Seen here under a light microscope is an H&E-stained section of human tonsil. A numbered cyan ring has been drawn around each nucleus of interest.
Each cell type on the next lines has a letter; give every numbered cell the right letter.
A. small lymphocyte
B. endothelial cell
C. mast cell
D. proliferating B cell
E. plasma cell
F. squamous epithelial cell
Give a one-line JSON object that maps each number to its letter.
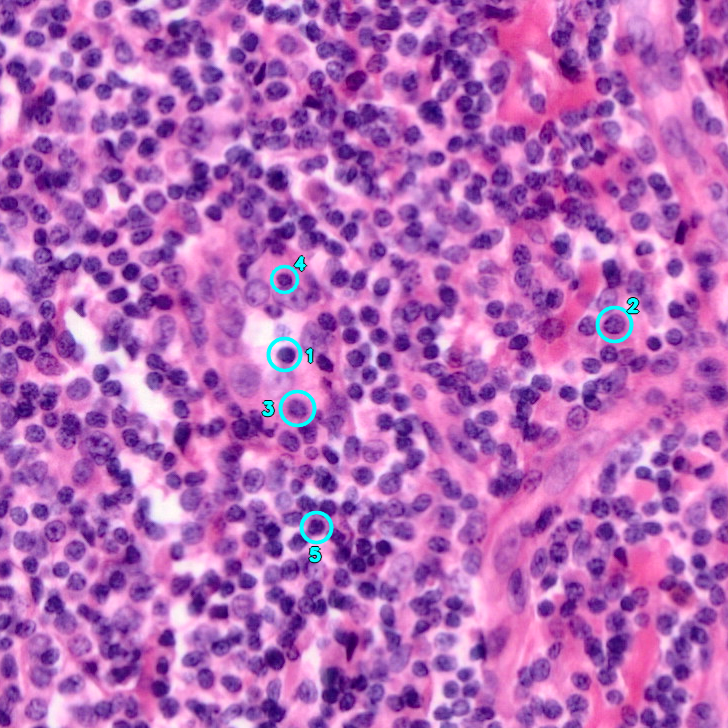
{"1": "B", "2": "E", "3": "B", "4": "B", "5": "A"}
